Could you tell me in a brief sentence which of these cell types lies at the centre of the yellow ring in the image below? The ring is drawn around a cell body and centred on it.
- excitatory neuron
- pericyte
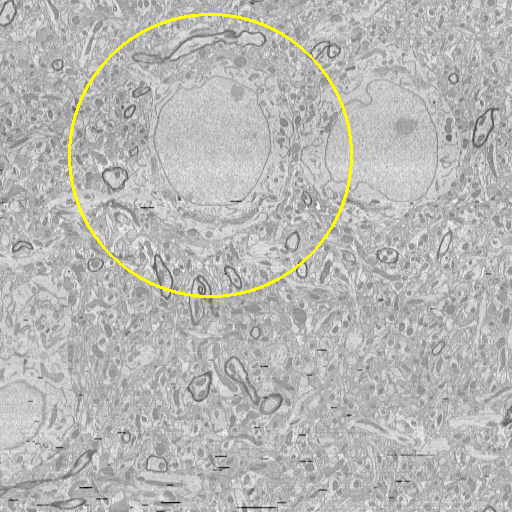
The cell centred in the ring is an excitatory neuron.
